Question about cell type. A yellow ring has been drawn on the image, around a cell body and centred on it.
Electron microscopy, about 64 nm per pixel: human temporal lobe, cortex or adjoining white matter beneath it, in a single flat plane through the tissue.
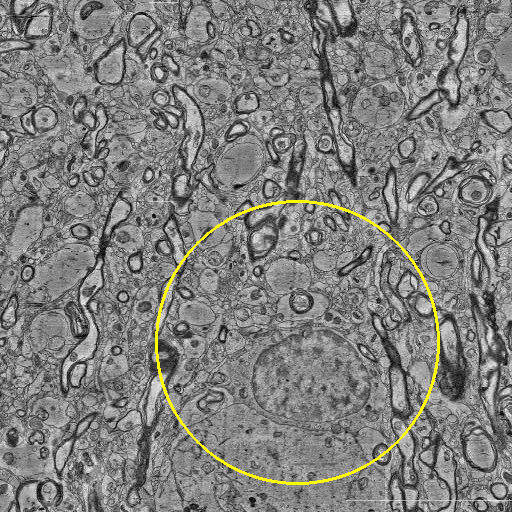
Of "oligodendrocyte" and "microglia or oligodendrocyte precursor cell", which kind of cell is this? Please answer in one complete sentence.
At the centre of the ring lies an oligodendrocyte.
